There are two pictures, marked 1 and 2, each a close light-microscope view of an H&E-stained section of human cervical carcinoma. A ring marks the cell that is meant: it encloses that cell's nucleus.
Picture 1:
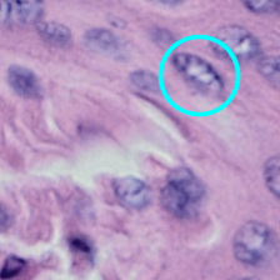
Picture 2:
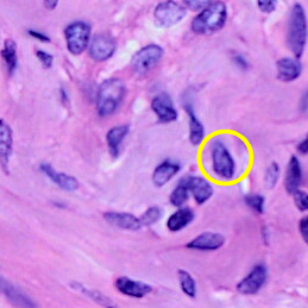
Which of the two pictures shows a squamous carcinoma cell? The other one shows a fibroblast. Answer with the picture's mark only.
1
